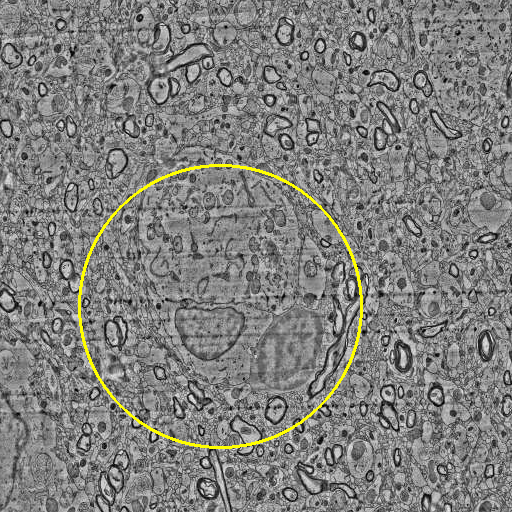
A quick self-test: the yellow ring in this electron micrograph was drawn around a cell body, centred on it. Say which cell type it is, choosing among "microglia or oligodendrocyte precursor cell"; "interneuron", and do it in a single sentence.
The yellow-ringed cell is a microglial cell or oligodendrocyte precursor cell.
